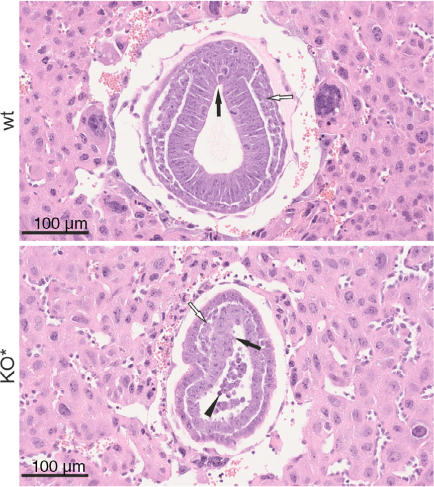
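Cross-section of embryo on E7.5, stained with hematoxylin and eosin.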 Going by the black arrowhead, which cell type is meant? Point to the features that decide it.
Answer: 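Apoptotic cells. The arrowhead points to rounded cells and fragments lying loose in the cavity of the lower embryo. These bodies have dark, condensed nuclear material.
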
